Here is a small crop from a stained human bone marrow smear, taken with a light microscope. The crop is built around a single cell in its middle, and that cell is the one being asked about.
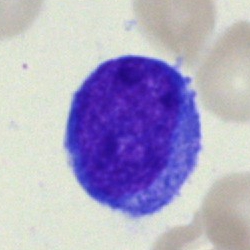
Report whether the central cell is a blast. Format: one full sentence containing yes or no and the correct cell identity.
Yes, the centered cell in this field is a blast.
